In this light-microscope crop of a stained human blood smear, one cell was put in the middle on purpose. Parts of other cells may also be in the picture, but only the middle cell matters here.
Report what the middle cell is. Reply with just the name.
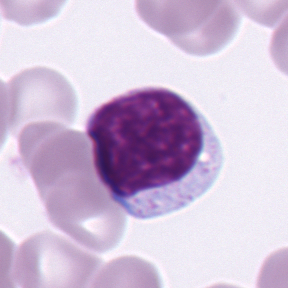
large granular lymphocyte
